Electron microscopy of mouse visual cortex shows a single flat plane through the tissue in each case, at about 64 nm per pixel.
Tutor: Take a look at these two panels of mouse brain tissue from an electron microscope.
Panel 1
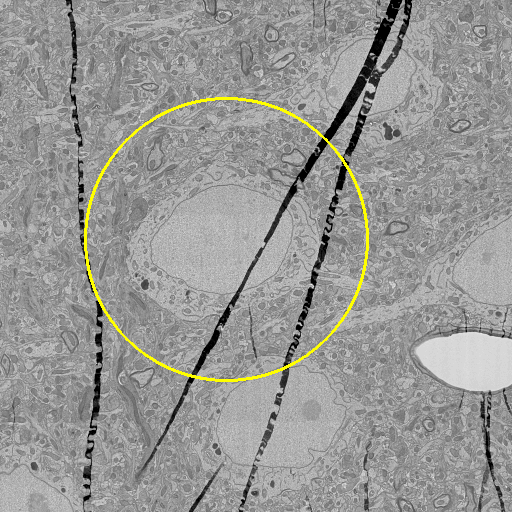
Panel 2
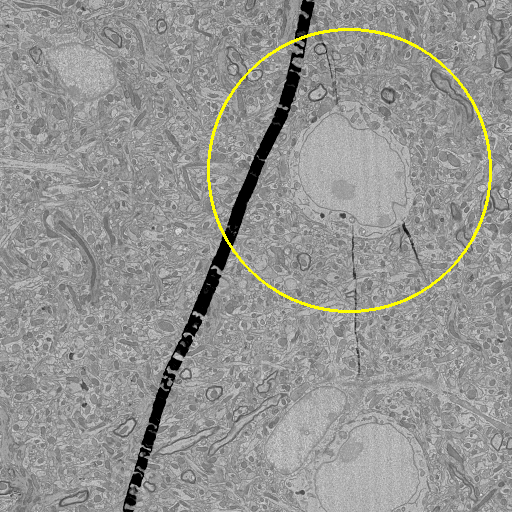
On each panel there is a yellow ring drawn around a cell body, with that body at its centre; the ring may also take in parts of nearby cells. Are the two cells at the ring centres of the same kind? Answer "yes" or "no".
yes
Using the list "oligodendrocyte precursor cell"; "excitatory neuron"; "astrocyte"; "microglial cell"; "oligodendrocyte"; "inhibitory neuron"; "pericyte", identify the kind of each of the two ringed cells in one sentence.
The first and the second cell are each an excitatory neuron.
